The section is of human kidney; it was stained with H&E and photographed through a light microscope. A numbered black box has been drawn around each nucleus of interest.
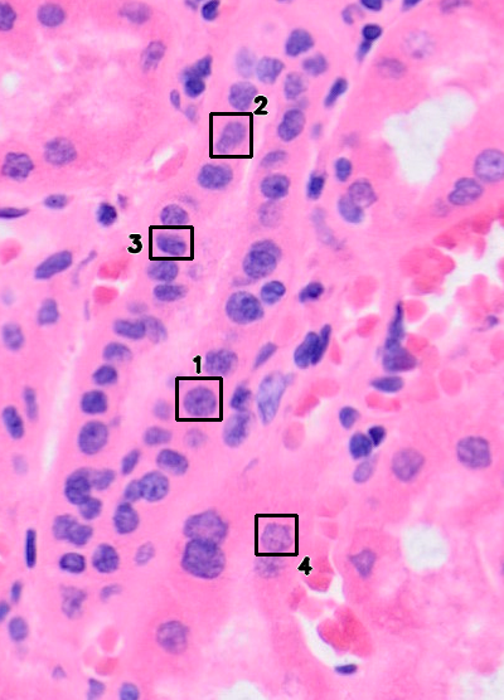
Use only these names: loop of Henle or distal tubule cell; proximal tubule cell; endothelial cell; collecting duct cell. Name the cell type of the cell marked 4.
proximal tubule cell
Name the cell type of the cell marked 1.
collecting duct cell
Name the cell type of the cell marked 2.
collecting duct cell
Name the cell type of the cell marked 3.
collecting duct cell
